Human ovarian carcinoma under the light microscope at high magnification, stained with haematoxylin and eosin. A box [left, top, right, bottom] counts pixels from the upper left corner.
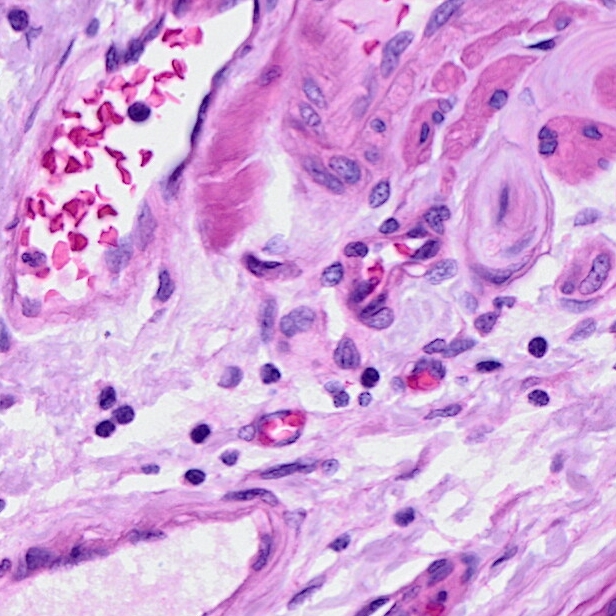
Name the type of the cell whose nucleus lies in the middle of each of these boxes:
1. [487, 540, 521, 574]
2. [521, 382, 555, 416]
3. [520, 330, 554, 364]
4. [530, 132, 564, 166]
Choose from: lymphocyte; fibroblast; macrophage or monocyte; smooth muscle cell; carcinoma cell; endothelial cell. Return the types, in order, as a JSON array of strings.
["fibroblast", "lymphocyte", "lymphocyte", "smooth muscle cell"]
